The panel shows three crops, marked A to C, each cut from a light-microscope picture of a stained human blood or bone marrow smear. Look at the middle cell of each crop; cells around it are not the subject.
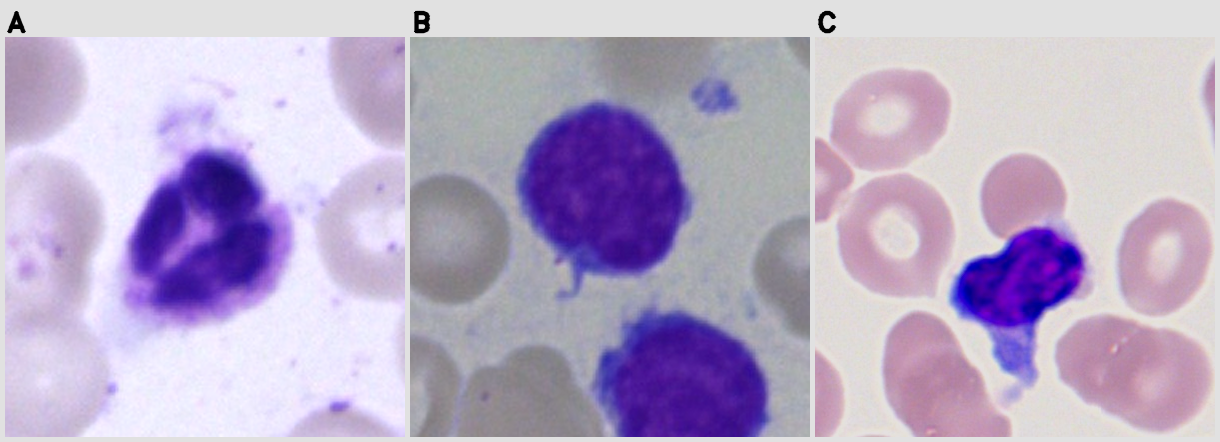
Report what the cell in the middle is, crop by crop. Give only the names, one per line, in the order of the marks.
neutrophil
lymphocyte
lymphocyte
